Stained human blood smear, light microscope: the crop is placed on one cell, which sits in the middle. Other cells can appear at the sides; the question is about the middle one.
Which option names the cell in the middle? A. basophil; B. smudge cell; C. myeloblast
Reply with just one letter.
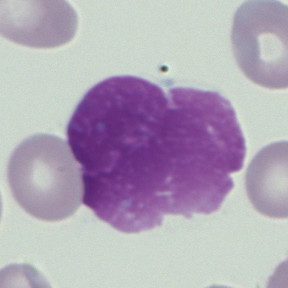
B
